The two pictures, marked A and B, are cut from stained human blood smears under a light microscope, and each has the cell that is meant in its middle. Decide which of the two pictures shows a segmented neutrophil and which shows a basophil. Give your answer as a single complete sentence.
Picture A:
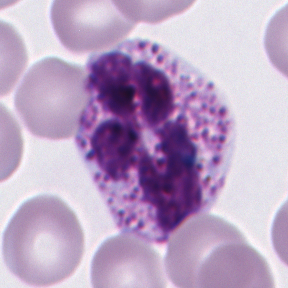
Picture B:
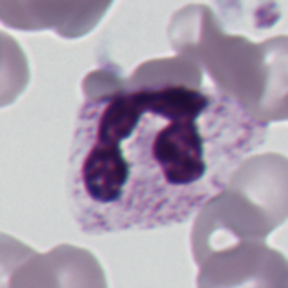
It is picture A that shows a basophil, and picture B that shows a segmented neutrophil.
